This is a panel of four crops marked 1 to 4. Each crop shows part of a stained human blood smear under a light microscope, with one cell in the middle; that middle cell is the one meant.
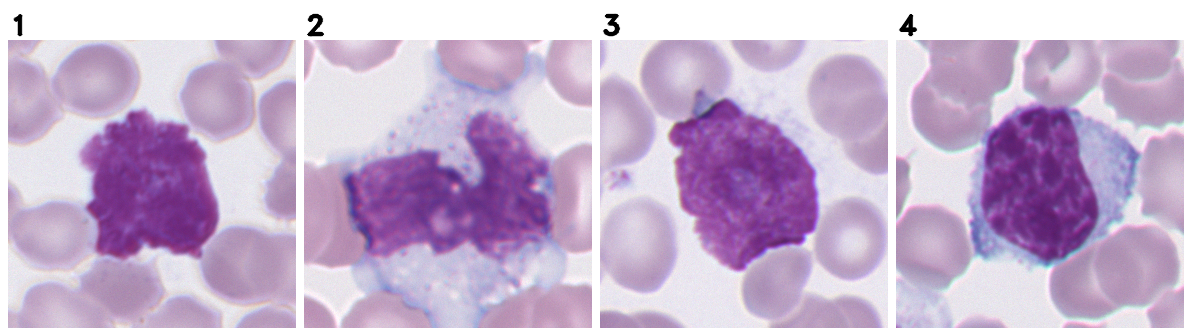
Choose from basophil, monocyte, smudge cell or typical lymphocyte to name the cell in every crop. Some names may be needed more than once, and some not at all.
1: smudge cell
2: monocyte
3: smudge cell
4: monocyte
